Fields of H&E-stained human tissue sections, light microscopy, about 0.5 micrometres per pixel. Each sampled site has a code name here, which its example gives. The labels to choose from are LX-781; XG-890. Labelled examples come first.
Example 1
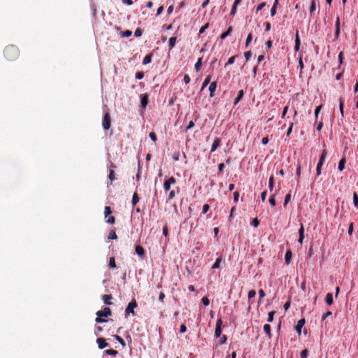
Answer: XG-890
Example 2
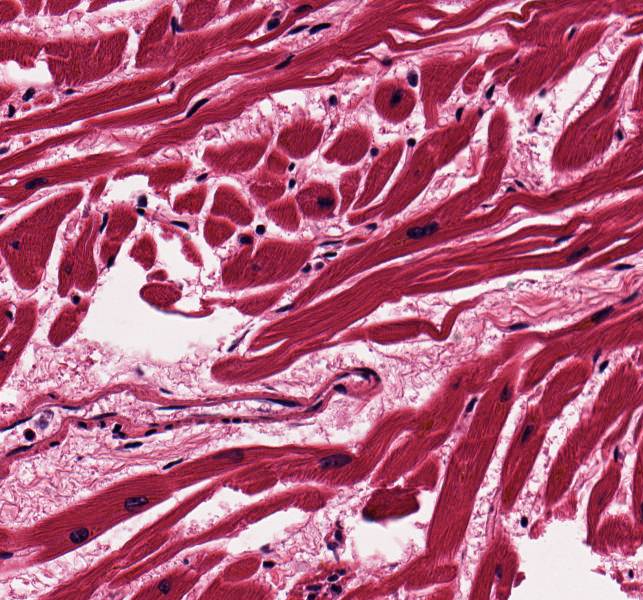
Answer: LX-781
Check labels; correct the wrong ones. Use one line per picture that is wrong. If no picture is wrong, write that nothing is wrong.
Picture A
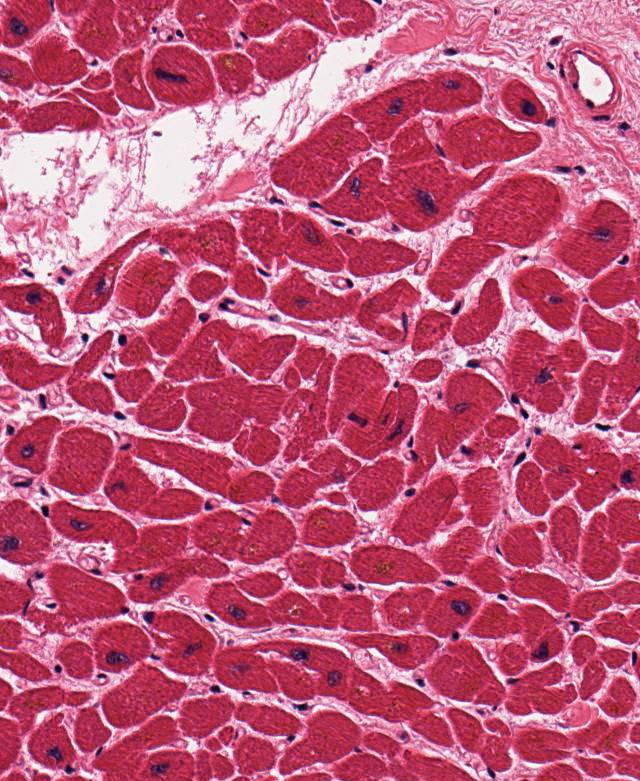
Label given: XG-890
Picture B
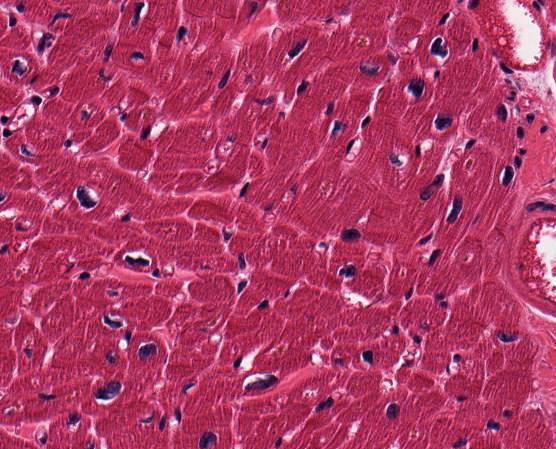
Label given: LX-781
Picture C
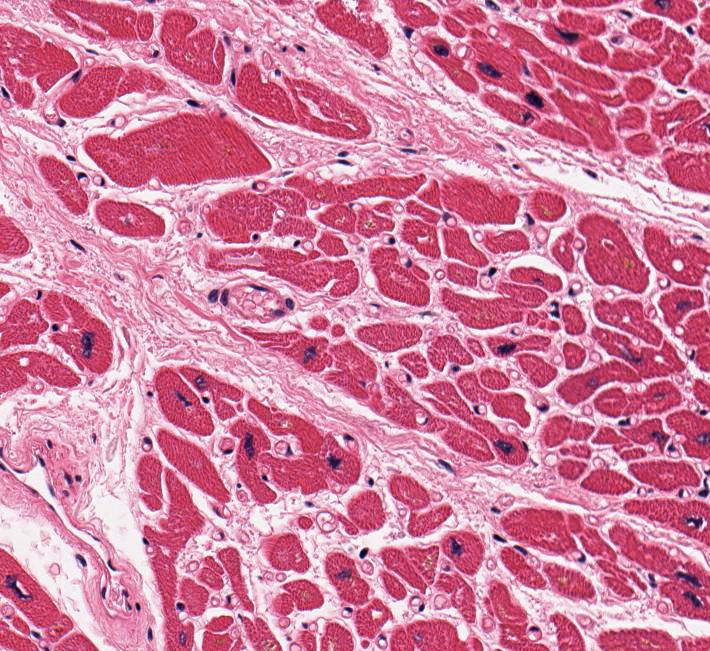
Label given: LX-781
A: change XG-890 to LX-781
